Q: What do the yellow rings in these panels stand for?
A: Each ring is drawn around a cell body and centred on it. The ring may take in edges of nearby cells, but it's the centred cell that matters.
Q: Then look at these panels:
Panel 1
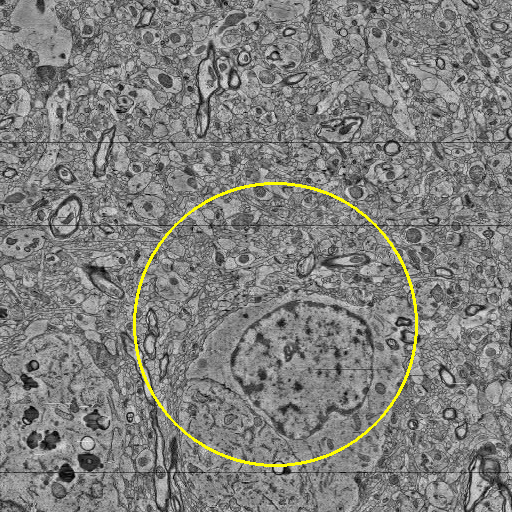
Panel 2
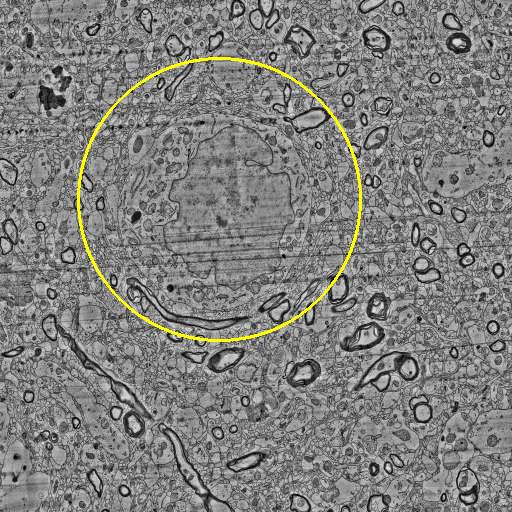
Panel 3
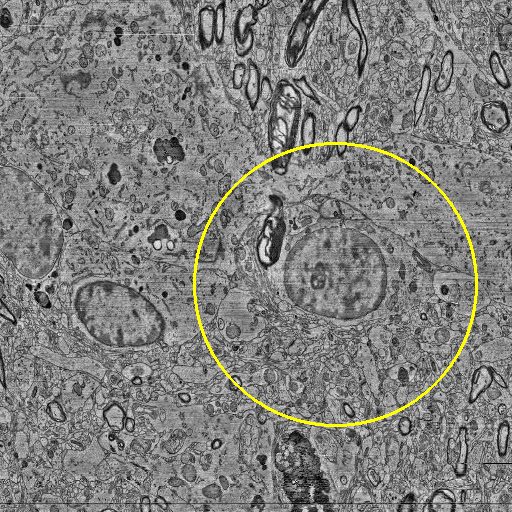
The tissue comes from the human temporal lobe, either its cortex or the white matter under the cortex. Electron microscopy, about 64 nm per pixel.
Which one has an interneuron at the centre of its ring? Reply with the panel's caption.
Panel 2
